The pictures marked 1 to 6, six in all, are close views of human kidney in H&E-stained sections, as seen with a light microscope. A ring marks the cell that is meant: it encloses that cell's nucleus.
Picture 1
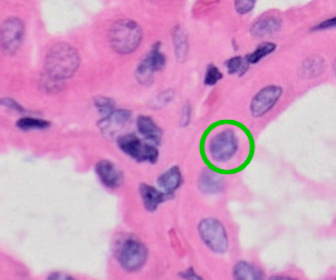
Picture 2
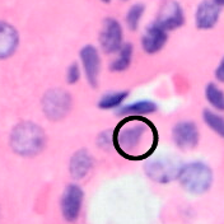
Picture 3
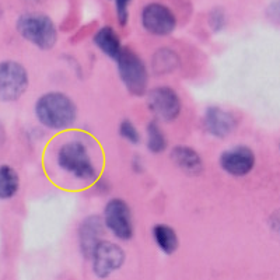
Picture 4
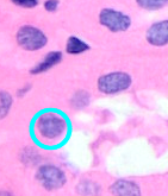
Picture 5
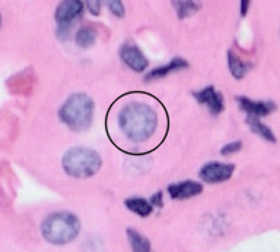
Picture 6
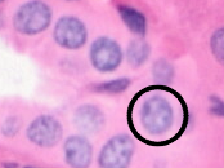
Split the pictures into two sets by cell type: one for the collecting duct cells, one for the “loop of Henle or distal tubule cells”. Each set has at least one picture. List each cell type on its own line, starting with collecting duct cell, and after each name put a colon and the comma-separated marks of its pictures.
collecting duct cell: 2, 3, 6
loop of Henle or distal tubule cell: 1, 4, 5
